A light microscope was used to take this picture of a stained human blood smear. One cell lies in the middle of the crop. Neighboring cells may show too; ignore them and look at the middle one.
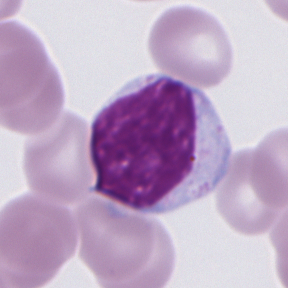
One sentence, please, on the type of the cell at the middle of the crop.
To answer, the cell in the center of the crop is a large granular lymphocyte.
